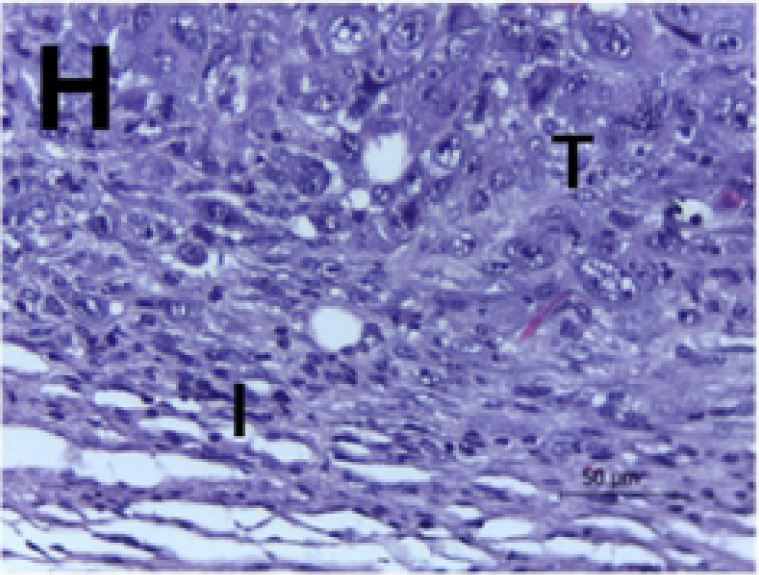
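The tumor cells in the upper part are large and rounded, with big pale vesicular nuclei, conspicuous nucleoli and a moderate amount of pale purple cytoplasm. Their nuclei vary clearly in size and shape, and the cells are packed in a solid sheet with a few clear rounded vacuoles among them. Toward the bottom the cells become smaller and more elongated, with darker nuclei, merging into a layer of loose fibrous tissue with slit-like clear spaces.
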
